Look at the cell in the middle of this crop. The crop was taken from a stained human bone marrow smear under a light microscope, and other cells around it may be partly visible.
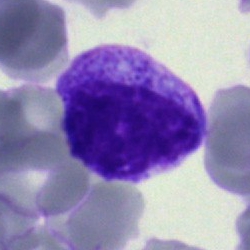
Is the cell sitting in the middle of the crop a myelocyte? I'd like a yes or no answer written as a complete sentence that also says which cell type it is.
Yes, the one cell at the centre is a myelocyte.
